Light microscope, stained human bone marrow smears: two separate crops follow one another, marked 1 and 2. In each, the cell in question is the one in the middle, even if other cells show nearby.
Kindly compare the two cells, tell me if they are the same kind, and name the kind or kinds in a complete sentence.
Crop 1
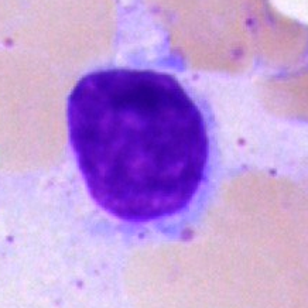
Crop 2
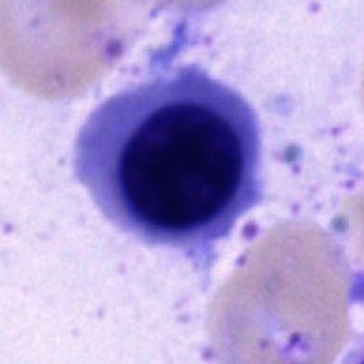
No, crop 1 is of a lymphocyte, and crop 2 is of an erythroblast.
